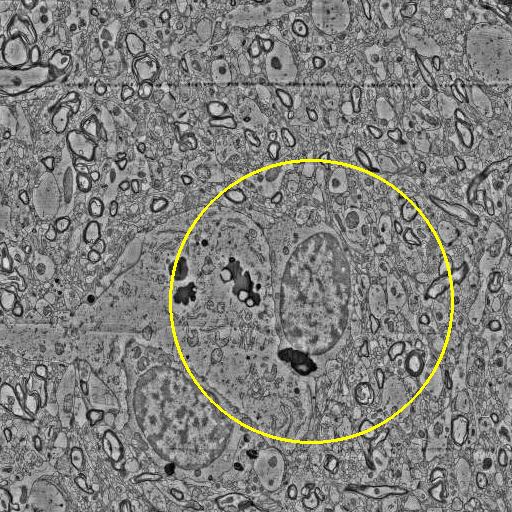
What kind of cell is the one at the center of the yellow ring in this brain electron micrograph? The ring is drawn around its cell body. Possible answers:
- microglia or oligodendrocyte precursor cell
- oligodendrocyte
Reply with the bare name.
oligodendrocyte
